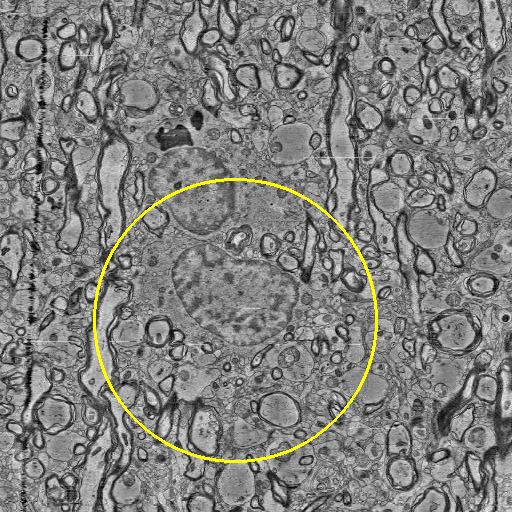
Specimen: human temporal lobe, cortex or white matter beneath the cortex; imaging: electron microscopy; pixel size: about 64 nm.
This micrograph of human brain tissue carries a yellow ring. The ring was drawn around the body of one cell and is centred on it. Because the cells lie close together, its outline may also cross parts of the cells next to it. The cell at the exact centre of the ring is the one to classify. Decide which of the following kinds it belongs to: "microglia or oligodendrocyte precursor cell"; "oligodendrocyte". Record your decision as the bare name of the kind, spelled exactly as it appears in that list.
oligodendrocyte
